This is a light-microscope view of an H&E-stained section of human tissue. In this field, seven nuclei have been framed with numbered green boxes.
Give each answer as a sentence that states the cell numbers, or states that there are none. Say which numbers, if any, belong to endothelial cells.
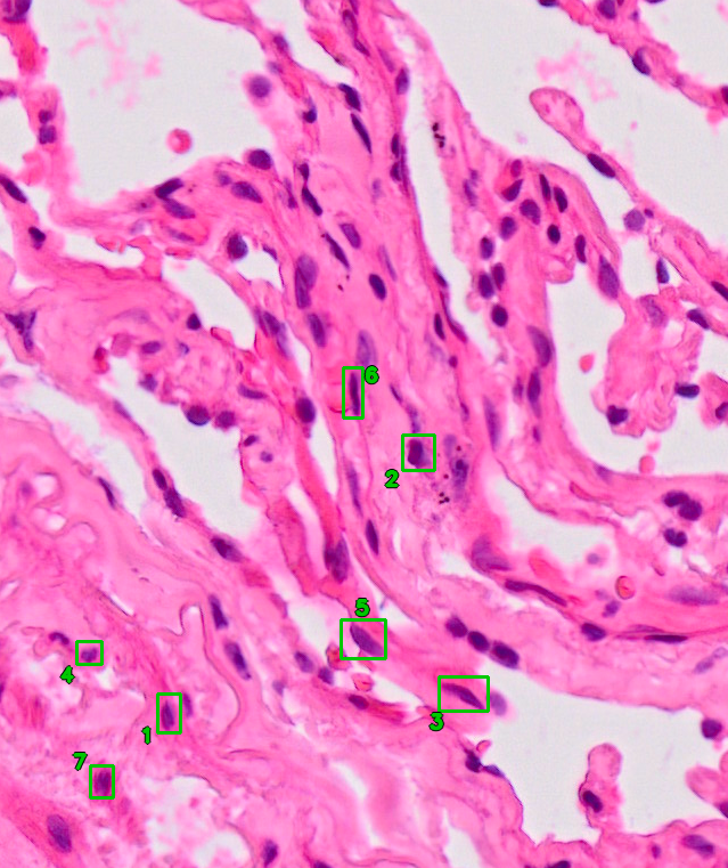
Cells that were given the numbers 3 and 6 are endothelial cells.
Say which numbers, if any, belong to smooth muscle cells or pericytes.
Identification: the cells with numbers 1, 4 and 7 are smooth muscle cells or pericytes.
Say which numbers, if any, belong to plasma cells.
Of the cells carrying numbers, just cell 2 is a plasma cell.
